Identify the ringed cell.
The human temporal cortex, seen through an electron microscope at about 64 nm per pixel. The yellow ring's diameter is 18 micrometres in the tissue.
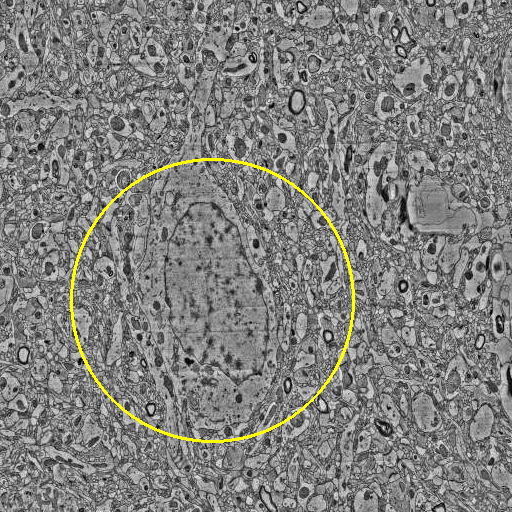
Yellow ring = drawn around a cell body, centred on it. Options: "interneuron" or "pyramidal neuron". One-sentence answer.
What the ring is centred on is an interneuron.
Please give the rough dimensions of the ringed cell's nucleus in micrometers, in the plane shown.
Approximately 12 micrometres long and 6 micrometres wide, so clearly longer than it is wide in this plane.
